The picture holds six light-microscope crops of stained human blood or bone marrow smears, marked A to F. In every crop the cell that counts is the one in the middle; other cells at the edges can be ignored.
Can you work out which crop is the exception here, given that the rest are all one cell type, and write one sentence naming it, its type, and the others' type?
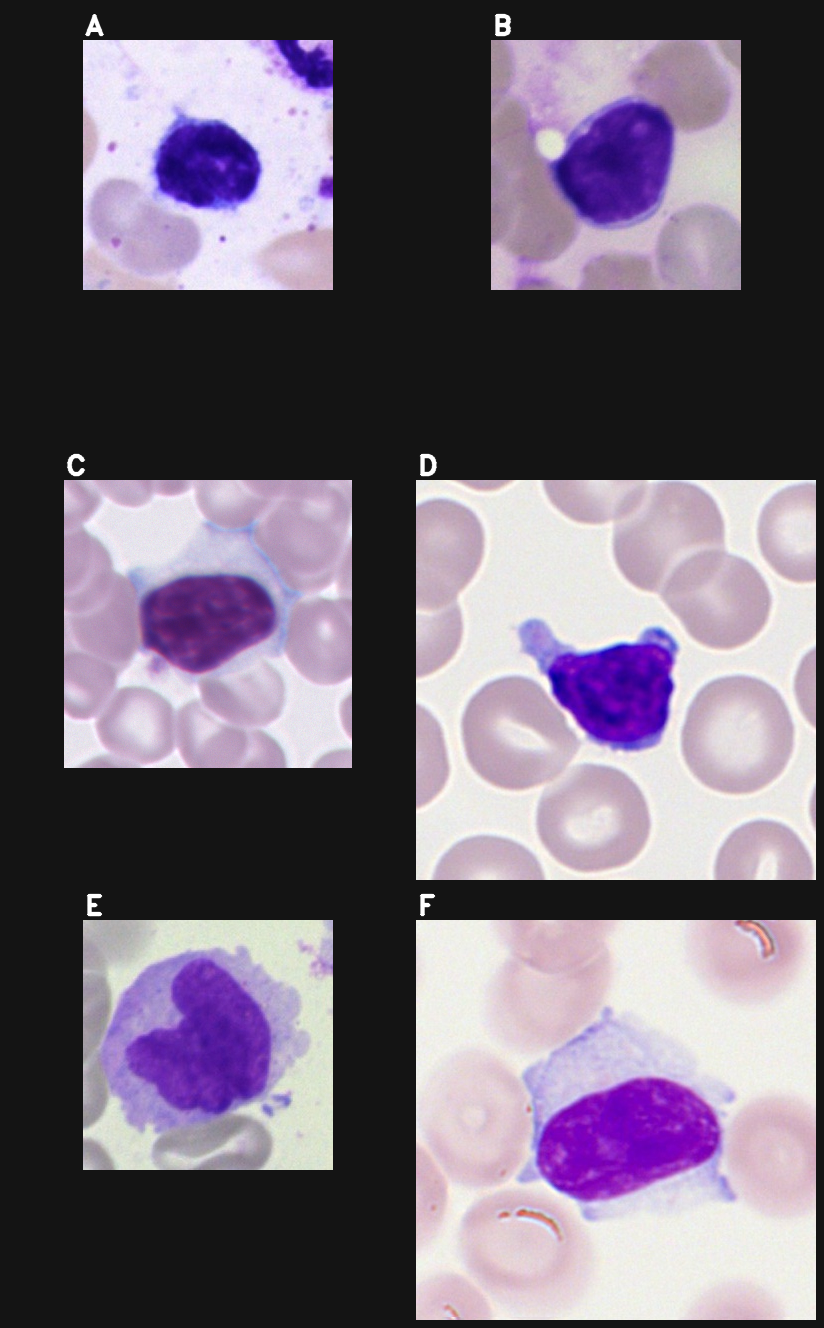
Crop E differs, its cell being a monocyte, whereas the other crops show lymphocytes.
